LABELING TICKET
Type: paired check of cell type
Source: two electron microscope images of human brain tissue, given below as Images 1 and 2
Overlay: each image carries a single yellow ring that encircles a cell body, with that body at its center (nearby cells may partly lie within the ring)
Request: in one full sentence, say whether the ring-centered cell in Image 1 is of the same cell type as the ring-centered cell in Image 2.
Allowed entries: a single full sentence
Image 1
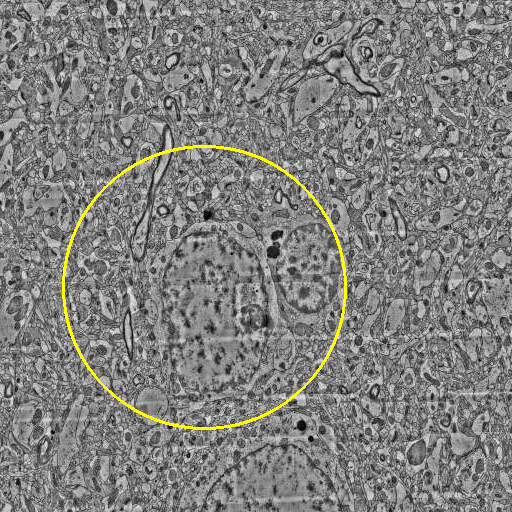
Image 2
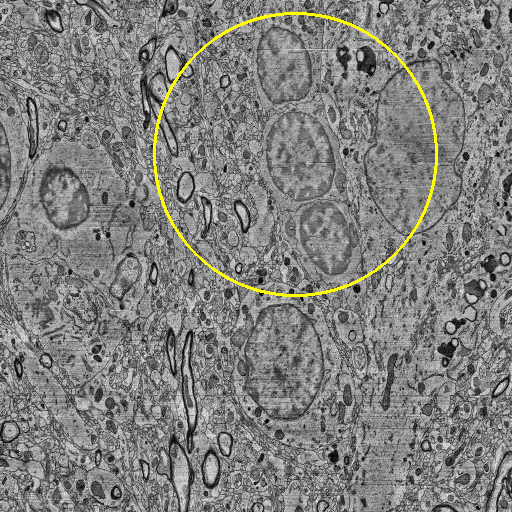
No, the cells centered in the rings of Image 1 and Image 2 are of two types.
